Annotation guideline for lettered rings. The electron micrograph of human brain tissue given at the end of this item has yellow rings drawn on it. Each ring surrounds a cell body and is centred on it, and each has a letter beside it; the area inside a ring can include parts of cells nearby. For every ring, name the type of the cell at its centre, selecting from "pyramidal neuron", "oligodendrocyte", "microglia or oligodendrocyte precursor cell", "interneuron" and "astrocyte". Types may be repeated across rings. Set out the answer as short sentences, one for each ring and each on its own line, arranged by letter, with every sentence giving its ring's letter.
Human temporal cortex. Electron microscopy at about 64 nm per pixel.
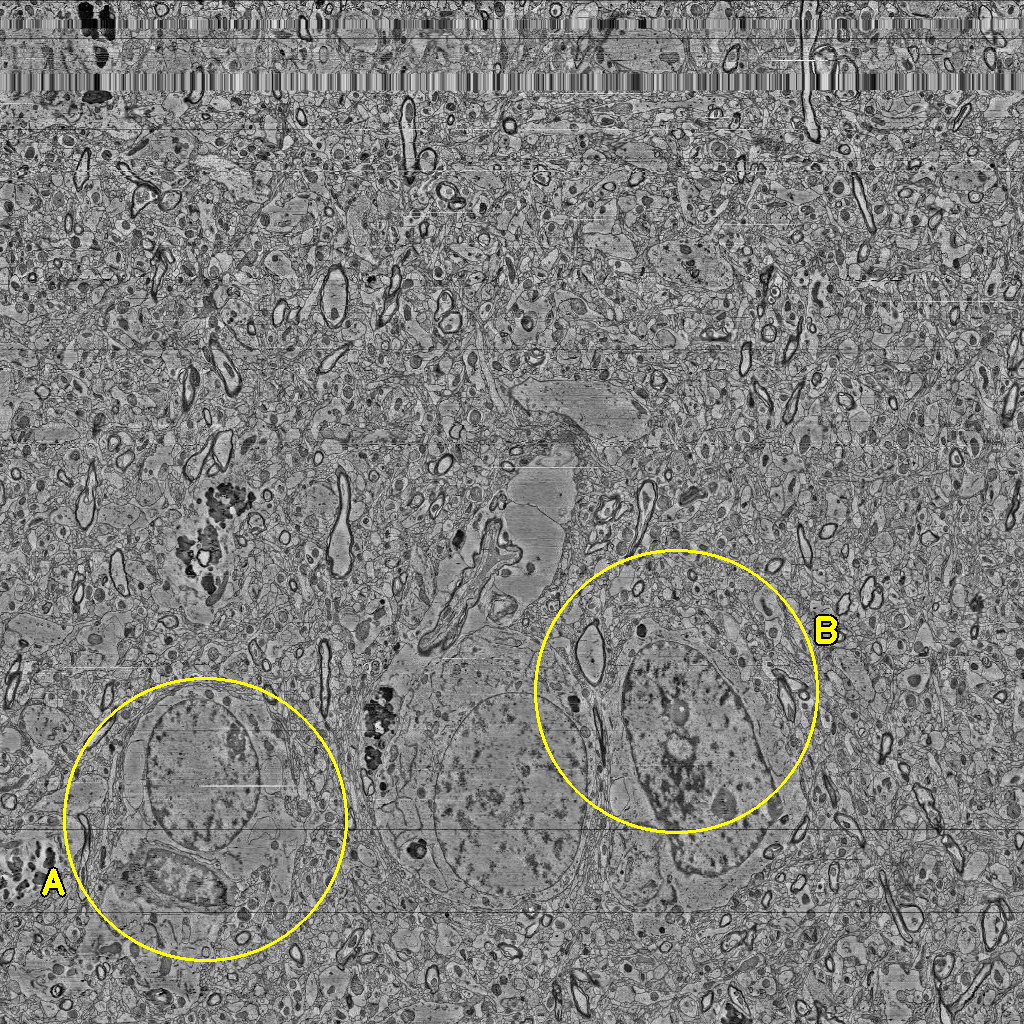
The cell centred in ring A is an astrocyte.
The cell centred in ring B is a microglial cell or oligodendrocyte precursor cell.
